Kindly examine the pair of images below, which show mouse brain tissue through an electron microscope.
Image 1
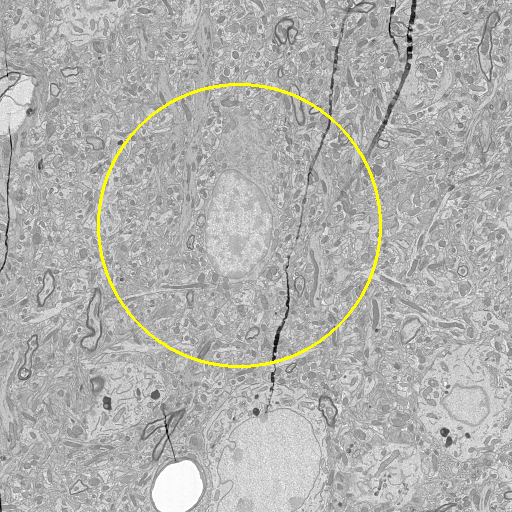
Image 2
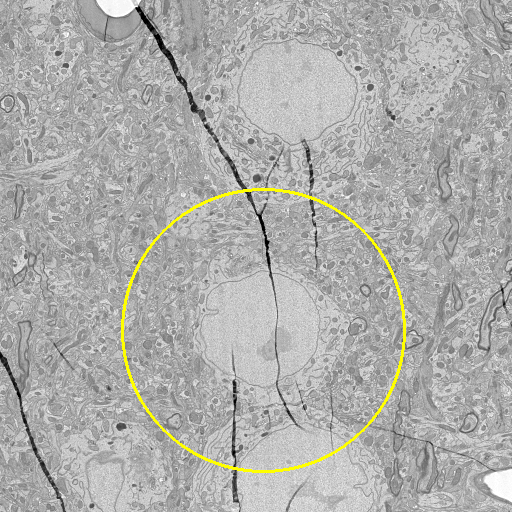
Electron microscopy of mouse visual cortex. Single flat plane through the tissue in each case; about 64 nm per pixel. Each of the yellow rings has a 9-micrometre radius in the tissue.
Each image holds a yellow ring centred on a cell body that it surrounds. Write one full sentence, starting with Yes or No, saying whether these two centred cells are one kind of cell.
No, the cells at the centres of the yellow rings belong to two kinds of cell.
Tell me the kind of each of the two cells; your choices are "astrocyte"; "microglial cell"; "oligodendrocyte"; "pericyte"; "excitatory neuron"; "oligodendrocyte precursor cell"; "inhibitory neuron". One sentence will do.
The ringed cell is an oligodendrocyte in the first picture and an excitatory neuron in the second picture.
